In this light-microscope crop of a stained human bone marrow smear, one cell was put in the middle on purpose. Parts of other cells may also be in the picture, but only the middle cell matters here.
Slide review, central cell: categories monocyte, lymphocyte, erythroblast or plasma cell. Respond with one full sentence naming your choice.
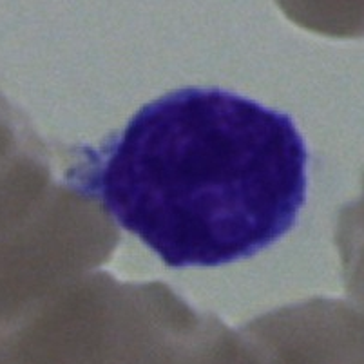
The crop shows a lymphocyte in its centre.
